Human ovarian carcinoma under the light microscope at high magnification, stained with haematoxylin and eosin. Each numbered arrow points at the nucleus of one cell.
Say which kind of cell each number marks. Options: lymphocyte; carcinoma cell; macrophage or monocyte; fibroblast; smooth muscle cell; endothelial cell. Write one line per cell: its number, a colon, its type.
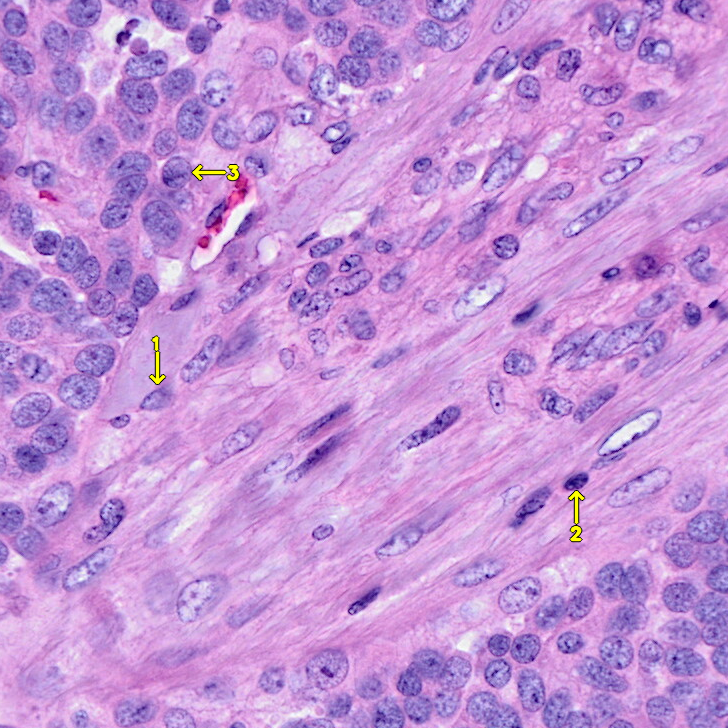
1: fibroblast
2: lymphocyte
3: carcinoma cell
